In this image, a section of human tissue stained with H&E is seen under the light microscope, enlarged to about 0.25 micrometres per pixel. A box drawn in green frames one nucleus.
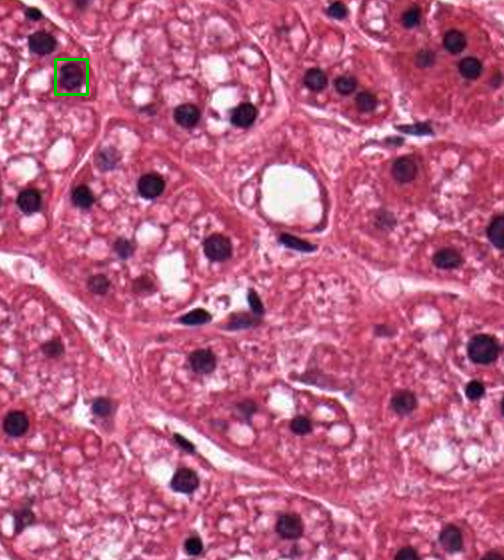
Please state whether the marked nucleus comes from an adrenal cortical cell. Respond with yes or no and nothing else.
yes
